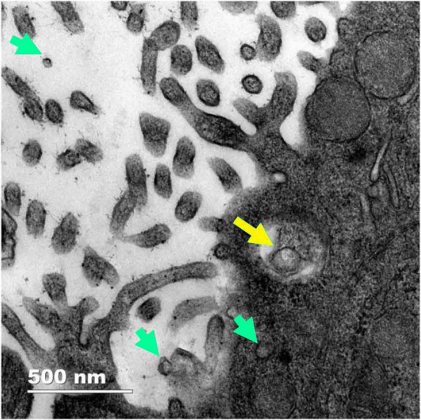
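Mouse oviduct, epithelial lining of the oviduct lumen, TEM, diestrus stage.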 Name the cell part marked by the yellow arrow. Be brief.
Endosomes.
